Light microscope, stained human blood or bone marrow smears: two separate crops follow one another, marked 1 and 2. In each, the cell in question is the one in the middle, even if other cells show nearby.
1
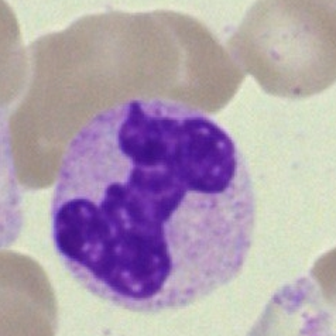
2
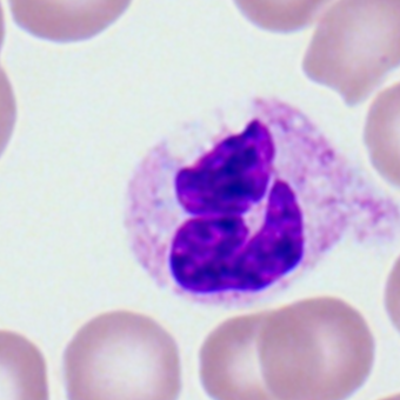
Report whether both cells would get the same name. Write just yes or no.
yes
